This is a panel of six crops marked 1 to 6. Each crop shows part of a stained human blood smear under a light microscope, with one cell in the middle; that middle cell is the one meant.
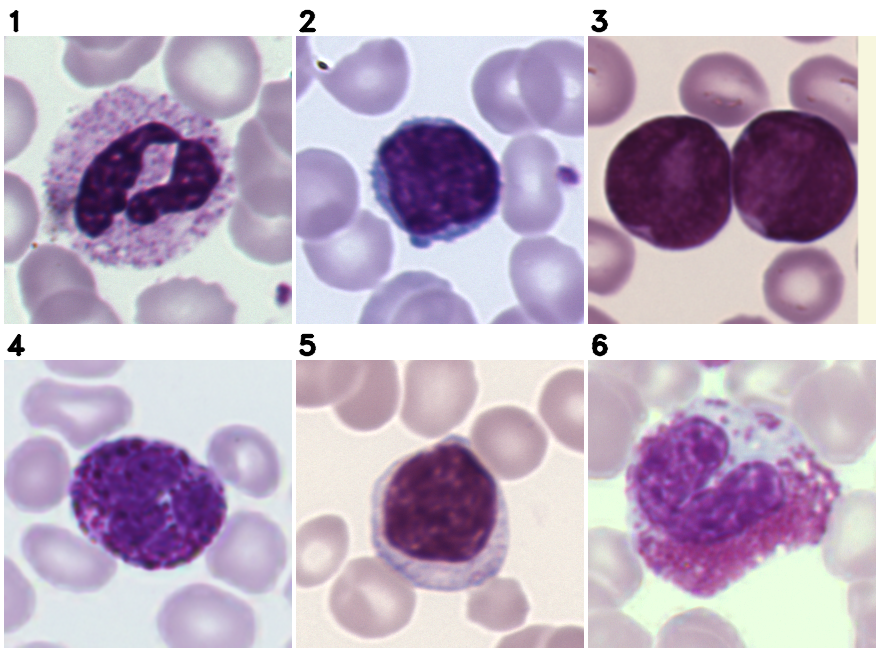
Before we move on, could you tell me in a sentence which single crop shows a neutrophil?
Of the crops given, a neutrophil is found in crop 1.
